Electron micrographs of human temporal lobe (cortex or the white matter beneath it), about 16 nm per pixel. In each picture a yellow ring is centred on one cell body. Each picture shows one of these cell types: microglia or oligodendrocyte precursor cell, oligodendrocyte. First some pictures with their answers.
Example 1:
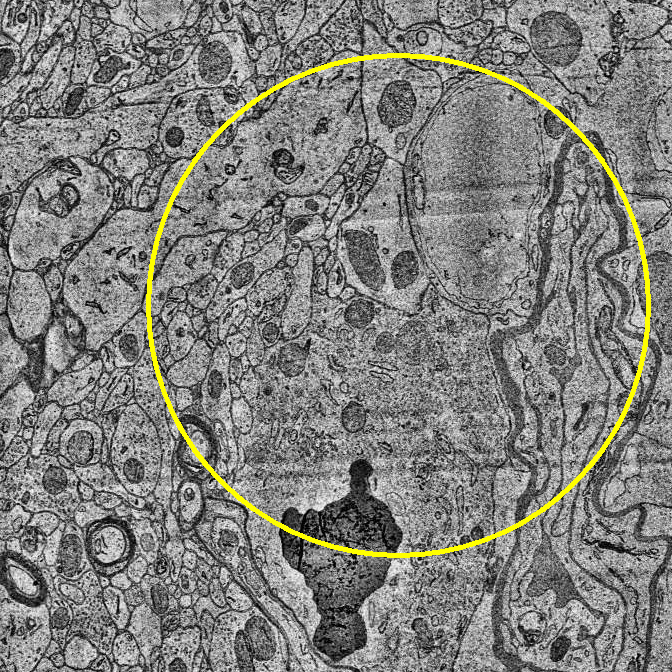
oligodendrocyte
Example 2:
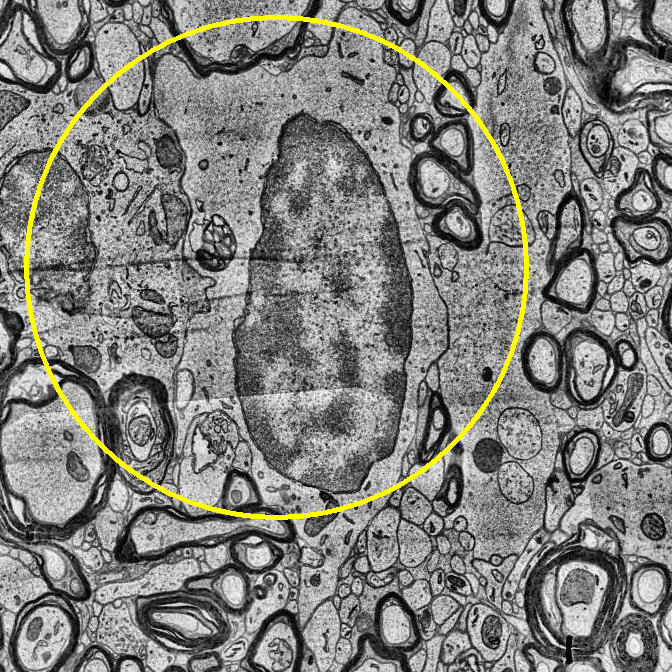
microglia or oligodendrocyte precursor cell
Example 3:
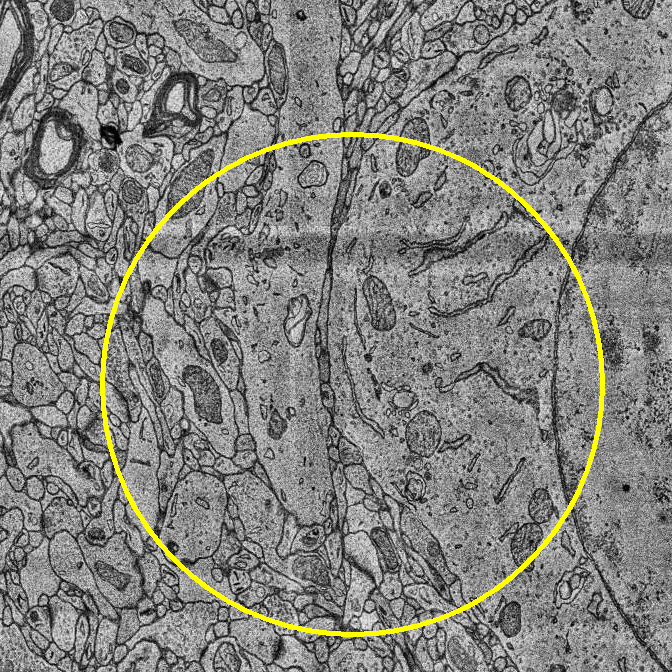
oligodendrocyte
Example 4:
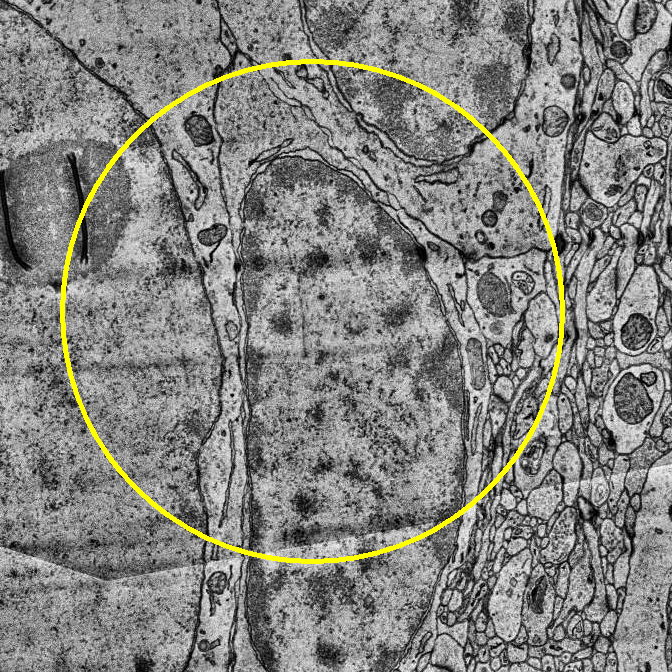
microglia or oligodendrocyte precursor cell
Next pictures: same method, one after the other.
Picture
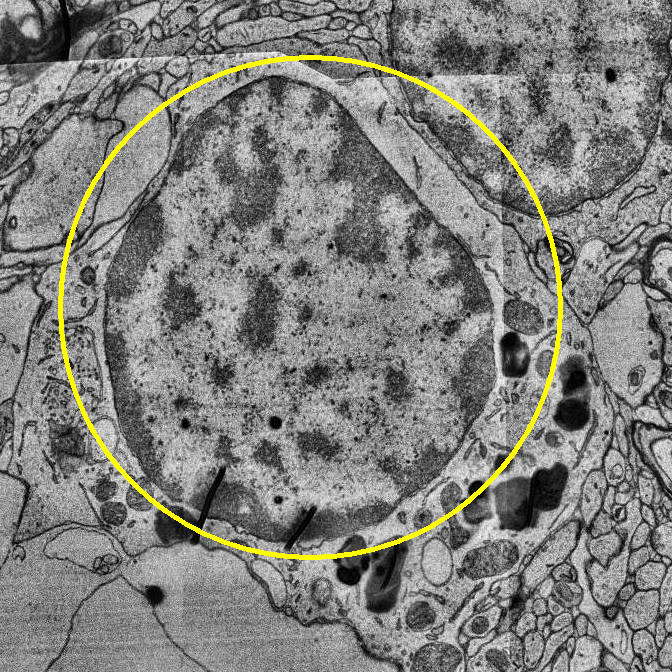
microglia or oligodendrocyte precursor cell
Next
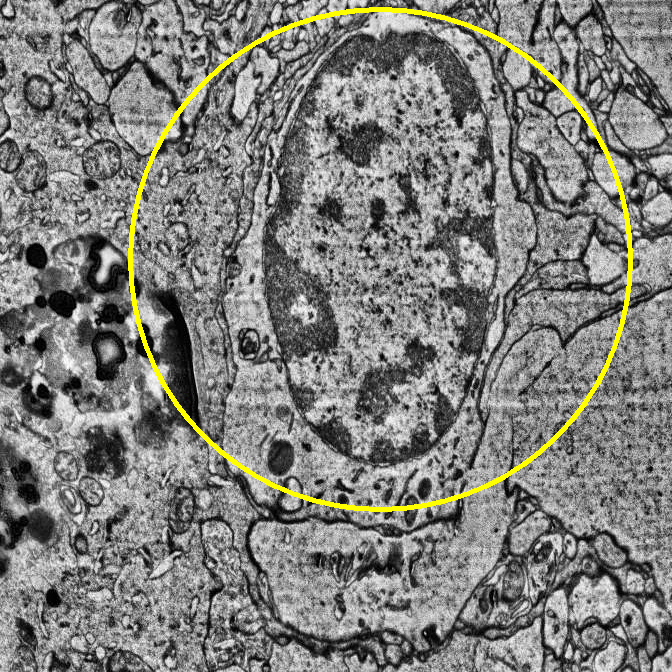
microglia or oligodendrocyte precursor cell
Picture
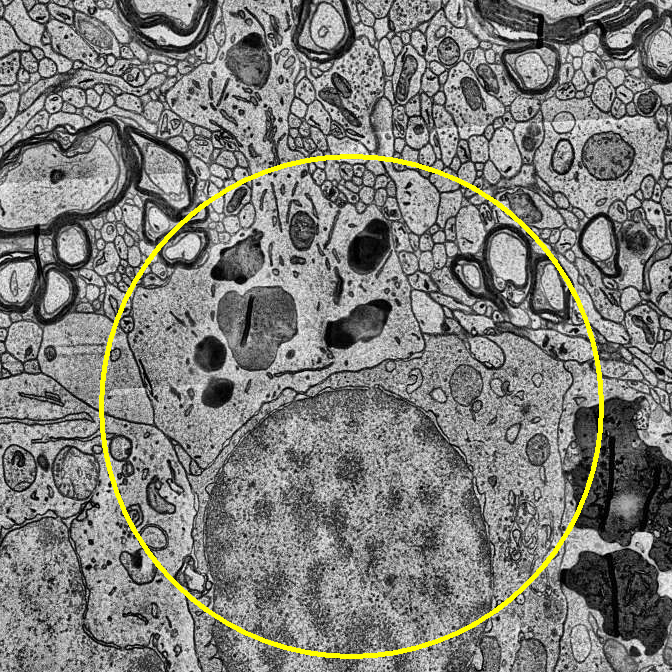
microglia or oligodendrocyte precursor cell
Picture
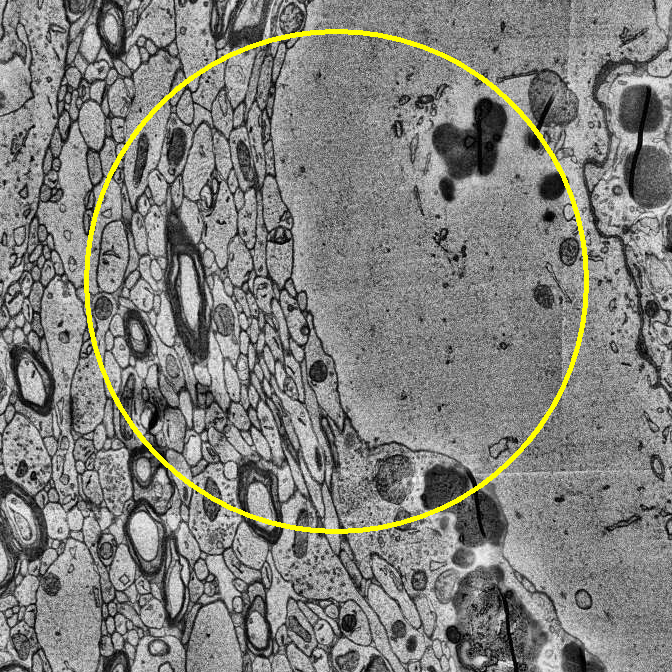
oligodendrocyte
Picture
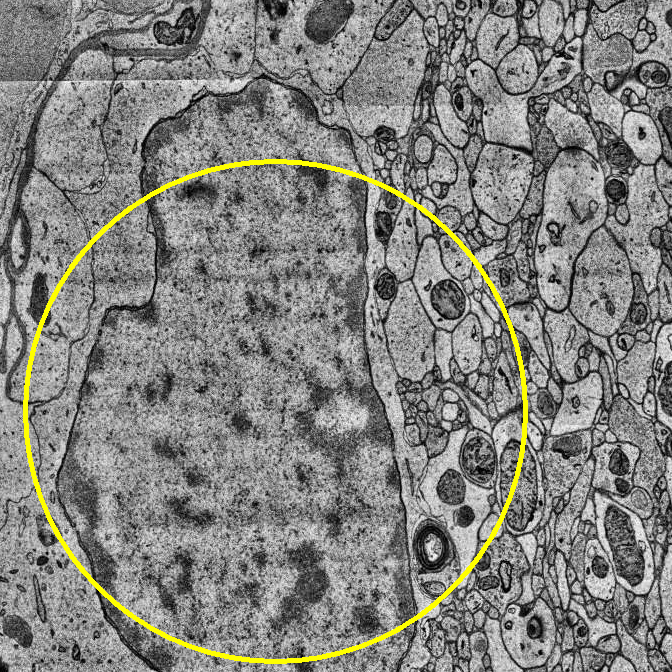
microglia or oligodendrocyte precursor cell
